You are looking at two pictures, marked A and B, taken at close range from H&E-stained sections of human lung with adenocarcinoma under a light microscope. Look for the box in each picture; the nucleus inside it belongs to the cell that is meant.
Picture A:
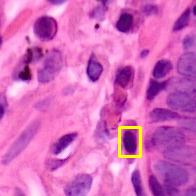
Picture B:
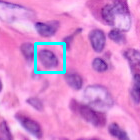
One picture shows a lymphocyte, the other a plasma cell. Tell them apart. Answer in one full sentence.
Picture A is of a plasma cell, and picture B is of a lymphocyte.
